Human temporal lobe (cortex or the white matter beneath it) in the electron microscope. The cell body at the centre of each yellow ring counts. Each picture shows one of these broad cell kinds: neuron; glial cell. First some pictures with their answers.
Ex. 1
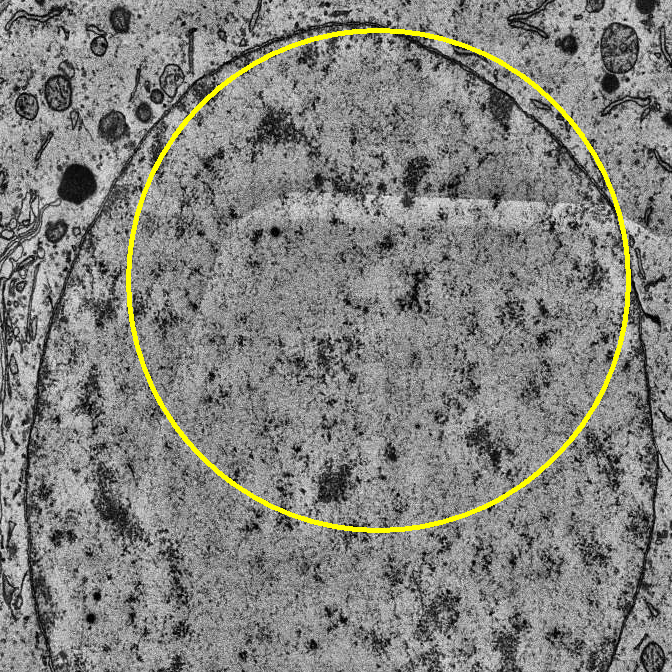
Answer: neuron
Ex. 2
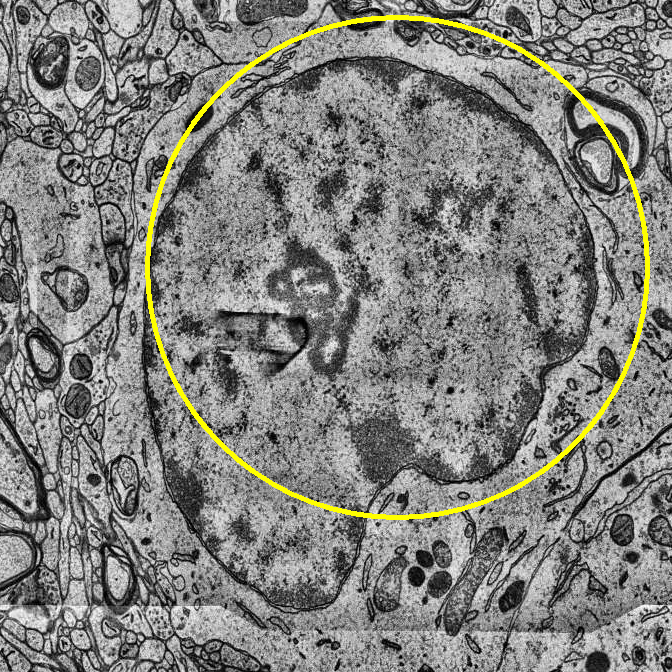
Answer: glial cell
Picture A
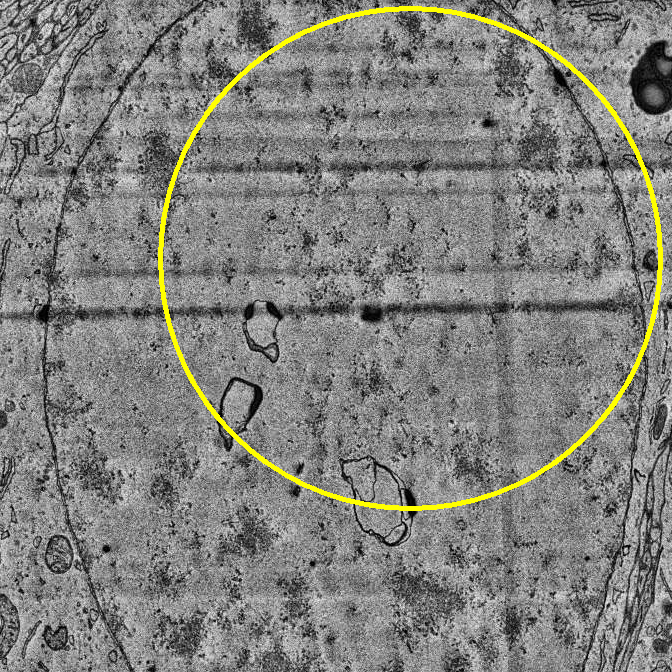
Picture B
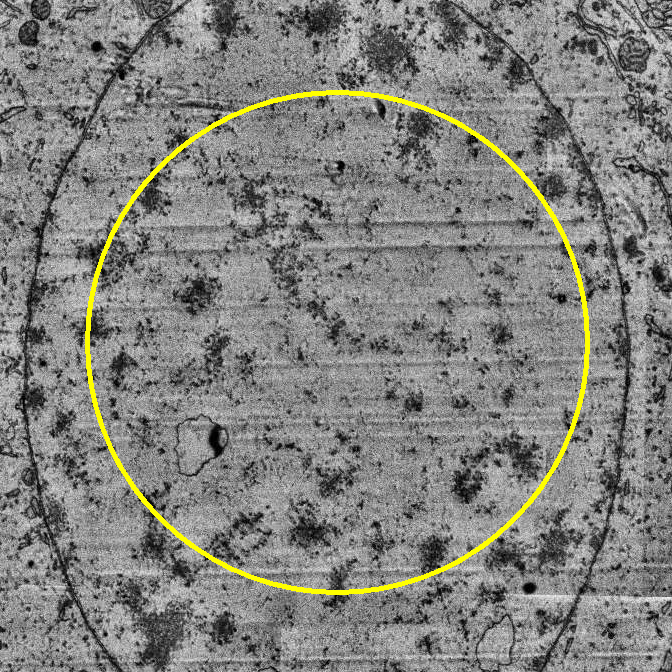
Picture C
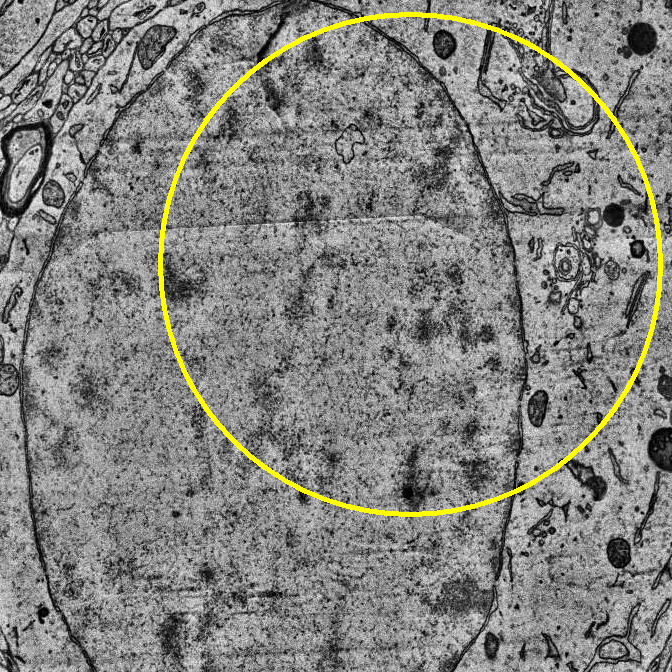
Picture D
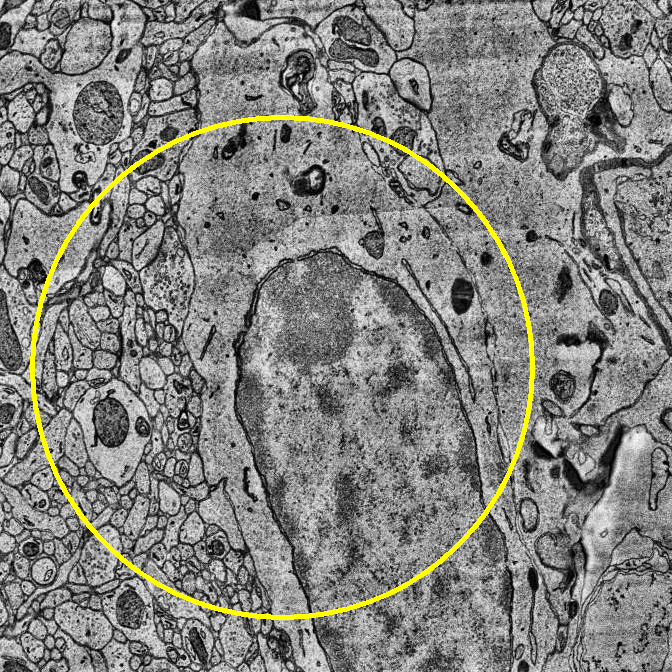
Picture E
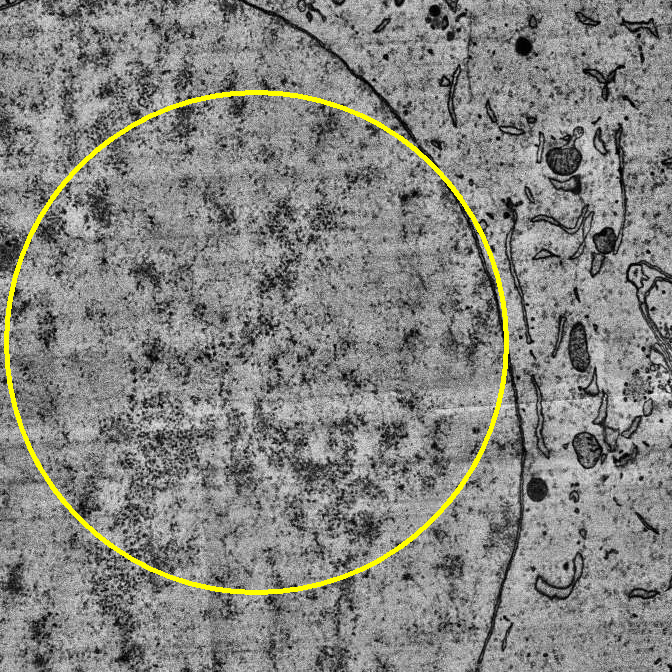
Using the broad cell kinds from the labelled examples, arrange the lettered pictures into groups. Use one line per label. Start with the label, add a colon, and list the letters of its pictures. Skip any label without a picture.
neuron: A, B, C, E
glial cell: D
